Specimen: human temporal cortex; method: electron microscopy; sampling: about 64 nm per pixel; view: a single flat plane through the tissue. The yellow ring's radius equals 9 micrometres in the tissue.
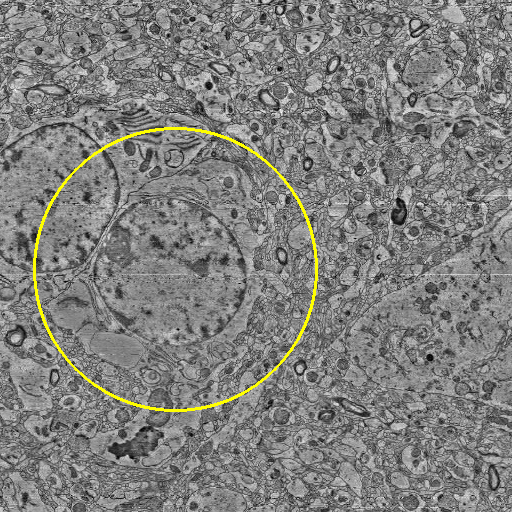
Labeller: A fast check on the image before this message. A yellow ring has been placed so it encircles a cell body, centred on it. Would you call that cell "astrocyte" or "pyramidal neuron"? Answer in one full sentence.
In this image, an astrocyte is the cell on which the yellow ring is centred.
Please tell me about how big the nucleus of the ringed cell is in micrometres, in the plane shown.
The nucleus appears about 10 micrometres across in this plane.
